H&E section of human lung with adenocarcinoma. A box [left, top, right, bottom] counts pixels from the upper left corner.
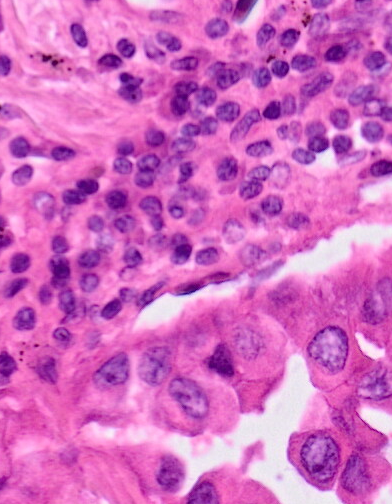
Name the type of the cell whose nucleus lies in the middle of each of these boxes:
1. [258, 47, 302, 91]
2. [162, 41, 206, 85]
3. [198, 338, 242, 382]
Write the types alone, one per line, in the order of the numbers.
lymphocyte
plasma cell
carcinoma cell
